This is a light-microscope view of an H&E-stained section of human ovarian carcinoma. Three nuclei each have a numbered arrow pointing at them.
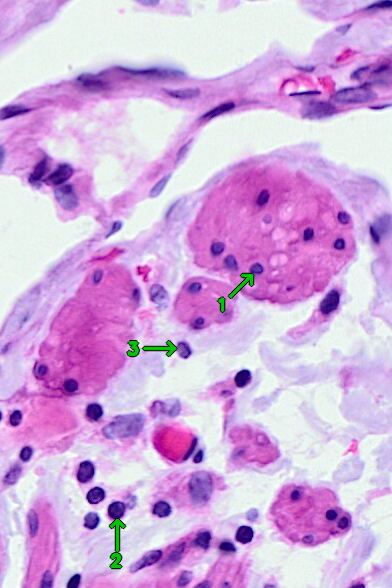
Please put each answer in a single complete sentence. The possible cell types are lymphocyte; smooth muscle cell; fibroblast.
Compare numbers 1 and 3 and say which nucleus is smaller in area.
It is nucleus 1; nucleus 3 has about 1.5 times its area.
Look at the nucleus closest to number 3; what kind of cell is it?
Closest to number 3 lies the nucleus of a smooth muscle cell.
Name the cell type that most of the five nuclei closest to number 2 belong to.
The majority of the five nuclei closest to number 2 belong to lymphocytes.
